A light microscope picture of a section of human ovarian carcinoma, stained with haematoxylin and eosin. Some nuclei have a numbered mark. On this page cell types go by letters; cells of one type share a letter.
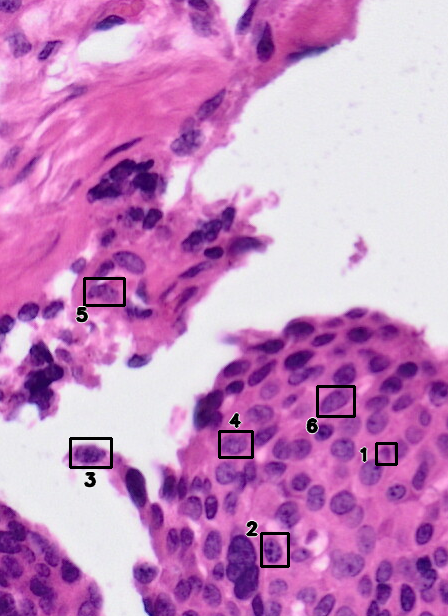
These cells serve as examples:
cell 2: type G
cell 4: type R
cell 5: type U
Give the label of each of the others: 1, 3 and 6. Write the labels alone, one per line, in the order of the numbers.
type R
type G
type R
